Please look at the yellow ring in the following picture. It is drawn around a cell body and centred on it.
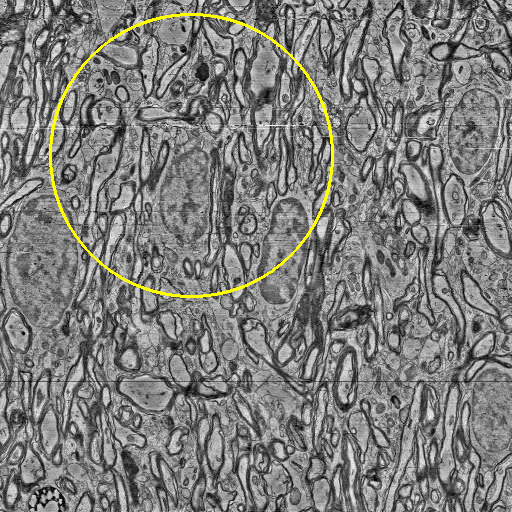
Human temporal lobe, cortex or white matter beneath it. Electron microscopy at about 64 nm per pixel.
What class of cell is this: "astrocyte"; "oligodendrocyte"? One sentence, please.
The ring surrounds the cell body of an oligodendrocyte.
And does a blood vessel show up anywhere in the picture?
No.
